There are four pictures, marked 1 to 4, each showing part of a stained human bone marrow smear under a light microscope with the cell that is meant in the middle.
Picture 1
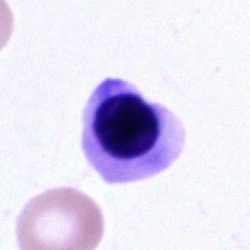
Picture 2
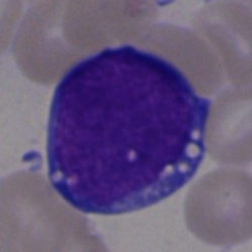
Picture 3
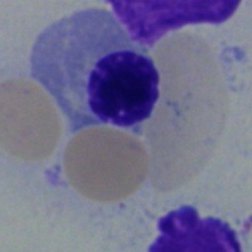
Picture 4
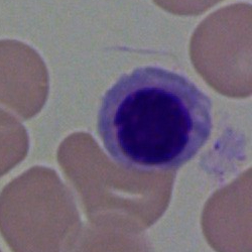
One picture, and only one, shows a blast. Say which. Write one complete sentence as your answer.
The cell in picture 2 is the blast.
